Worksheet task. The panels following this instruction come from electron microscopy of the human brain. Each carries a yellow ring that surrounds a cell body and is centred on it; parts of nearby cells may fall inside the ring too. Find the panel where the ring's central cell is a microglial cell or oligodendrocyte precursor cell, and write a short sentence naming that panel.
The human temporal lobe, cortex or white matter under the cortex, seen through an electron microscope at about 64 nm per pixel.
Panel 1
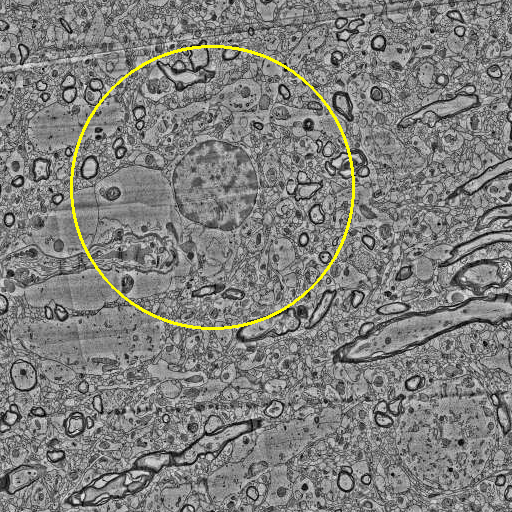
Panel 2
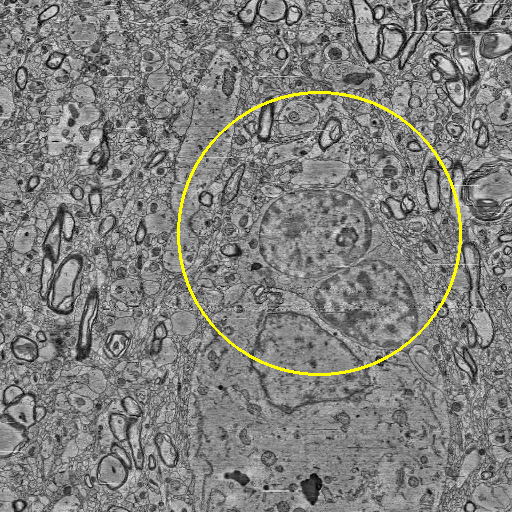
The cell sought is in Panel 1.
